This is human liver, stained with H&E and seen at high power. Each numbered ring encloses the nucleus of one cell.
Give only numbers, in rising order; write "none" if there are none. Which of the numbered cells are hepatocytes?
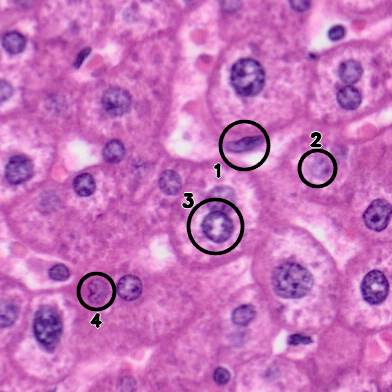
2, 3, 4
